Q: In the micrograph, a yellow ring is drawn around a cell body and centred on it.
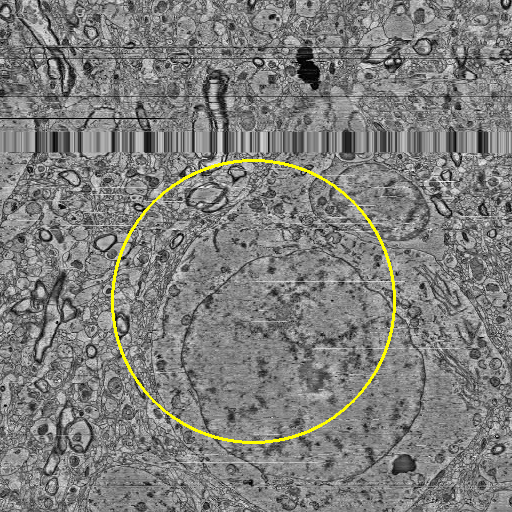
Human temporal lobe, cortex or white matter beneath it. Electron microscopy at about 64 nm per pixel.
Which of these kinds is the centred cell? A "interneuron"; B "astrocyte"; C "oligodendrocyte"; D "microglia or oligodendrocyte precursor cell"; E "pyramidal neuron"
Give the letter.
E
